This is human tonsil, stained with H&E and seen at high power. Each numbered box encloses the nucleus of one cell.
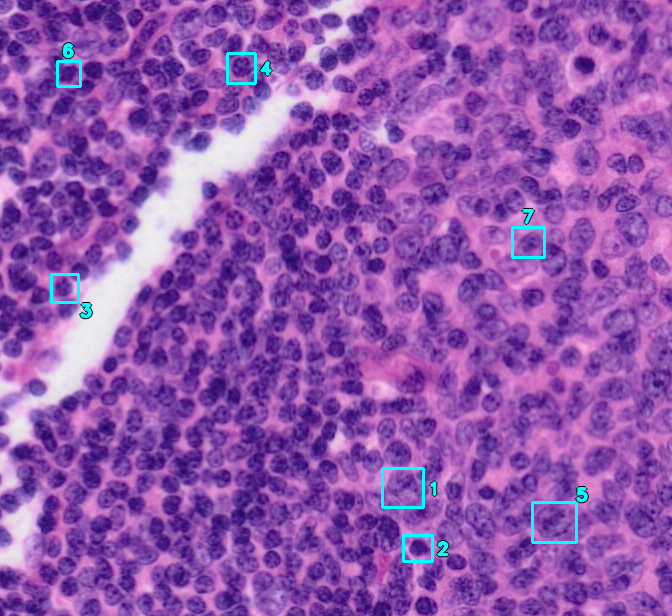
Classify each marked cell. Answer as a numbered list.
1. proliferating B cell
2. proliferating B cell
3. small lymphocyte
4. small lymphocyte
5. proliferating B cell
6. small lymphocyte
7. proliferating B cell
